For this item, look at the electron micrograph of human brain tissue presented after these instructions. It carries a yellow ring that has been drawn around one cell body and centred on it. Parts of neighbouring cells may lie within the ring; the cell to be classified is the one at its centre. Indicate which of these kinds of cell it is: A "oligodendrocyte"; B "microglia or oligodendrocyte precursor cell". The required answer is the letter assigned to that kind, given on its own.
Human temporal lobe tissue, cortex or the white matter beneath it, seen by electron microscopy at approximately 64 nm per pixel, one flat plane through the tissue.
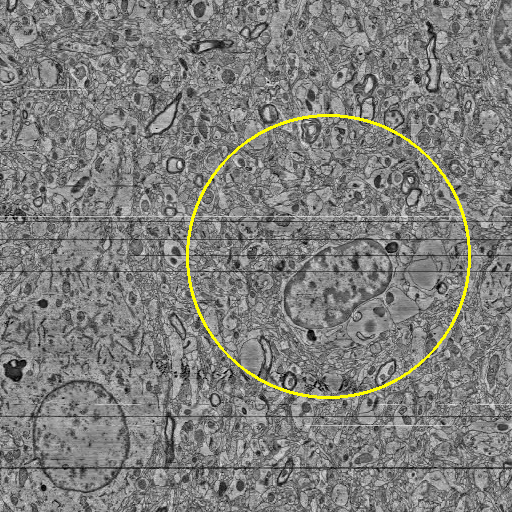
B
